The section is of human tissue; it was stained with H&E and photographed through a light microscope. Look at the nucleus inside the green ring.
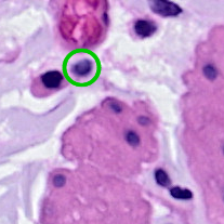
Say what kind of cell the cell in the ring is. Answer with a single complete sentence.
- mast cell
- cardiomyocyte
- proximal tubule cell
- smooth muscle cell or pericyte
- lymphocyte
What the cell in the ring represents is a lymphocyte.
